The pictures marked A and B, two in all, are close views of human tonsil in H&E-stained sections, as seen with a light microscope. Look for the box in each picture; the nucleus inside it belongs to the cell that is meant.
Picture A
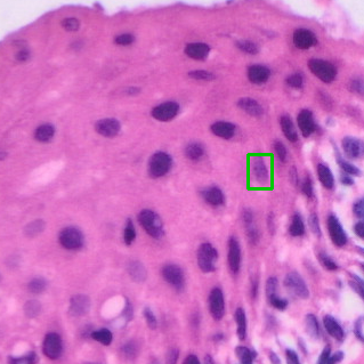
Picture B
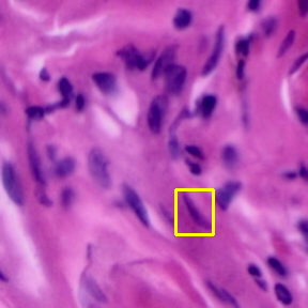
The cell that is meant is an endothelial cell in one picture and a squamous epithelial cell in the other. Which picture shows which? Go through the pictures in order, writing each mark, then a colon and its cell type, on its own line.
A: squamous epithelial cell
B: endothelial cell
